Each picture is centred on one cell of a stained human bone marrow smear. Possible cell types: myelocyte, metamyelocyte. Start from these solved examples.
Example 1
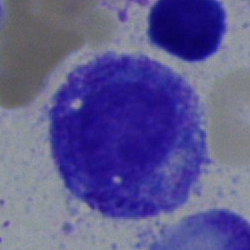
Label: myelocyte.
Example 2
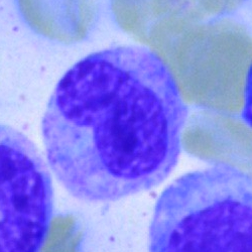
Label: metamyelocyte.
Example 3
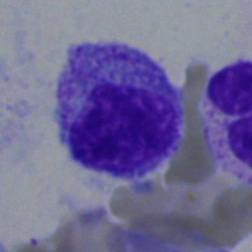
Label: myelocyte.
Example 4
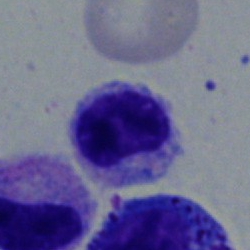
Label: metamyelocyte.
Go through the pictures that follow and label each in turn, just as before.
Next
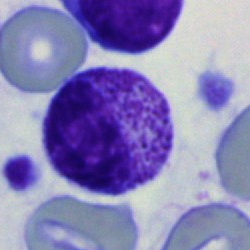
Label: myelocyte.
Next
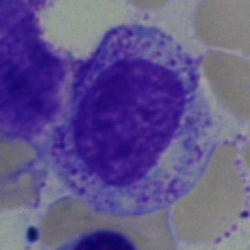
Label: myelocyte.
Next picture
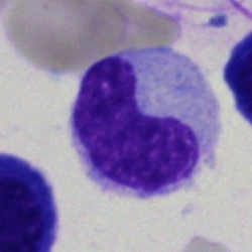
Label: metamyelocyte.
